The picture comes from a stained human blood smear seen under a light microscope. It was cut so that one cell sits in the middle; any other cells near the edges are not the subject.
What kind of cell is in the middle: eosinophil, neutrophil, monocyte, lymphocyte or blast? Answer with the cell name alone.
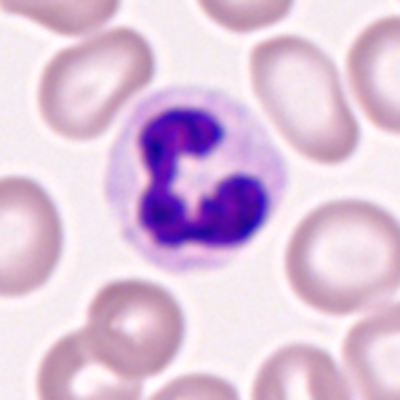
neutrophil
